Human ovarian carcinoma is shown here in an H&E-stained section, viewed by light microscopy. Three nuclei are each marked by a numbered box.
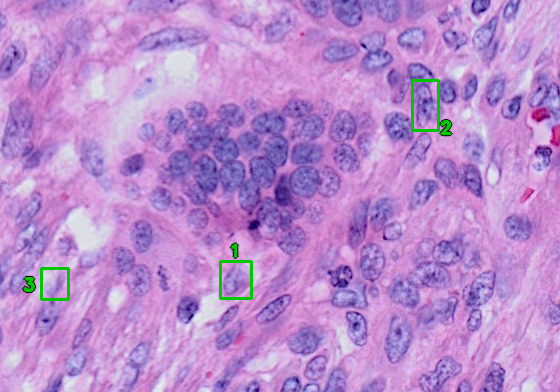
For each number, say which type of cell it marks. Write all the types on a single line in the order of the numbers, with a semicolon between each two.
fibroblast; endothelial cell; fibroblast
